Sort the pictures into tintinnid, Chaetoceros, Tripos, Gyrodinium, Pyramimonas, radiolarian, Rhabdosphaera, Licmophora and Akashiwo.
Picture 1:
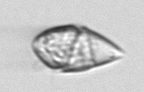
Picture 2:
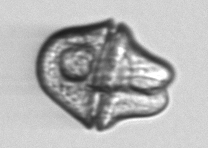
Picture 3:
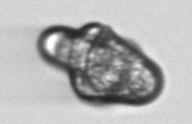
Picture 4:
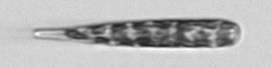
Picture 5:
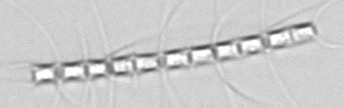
Gyrodinium: 1
Akashiwo: 2, 3
Licmophora: 4
Chaetoceros: 5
